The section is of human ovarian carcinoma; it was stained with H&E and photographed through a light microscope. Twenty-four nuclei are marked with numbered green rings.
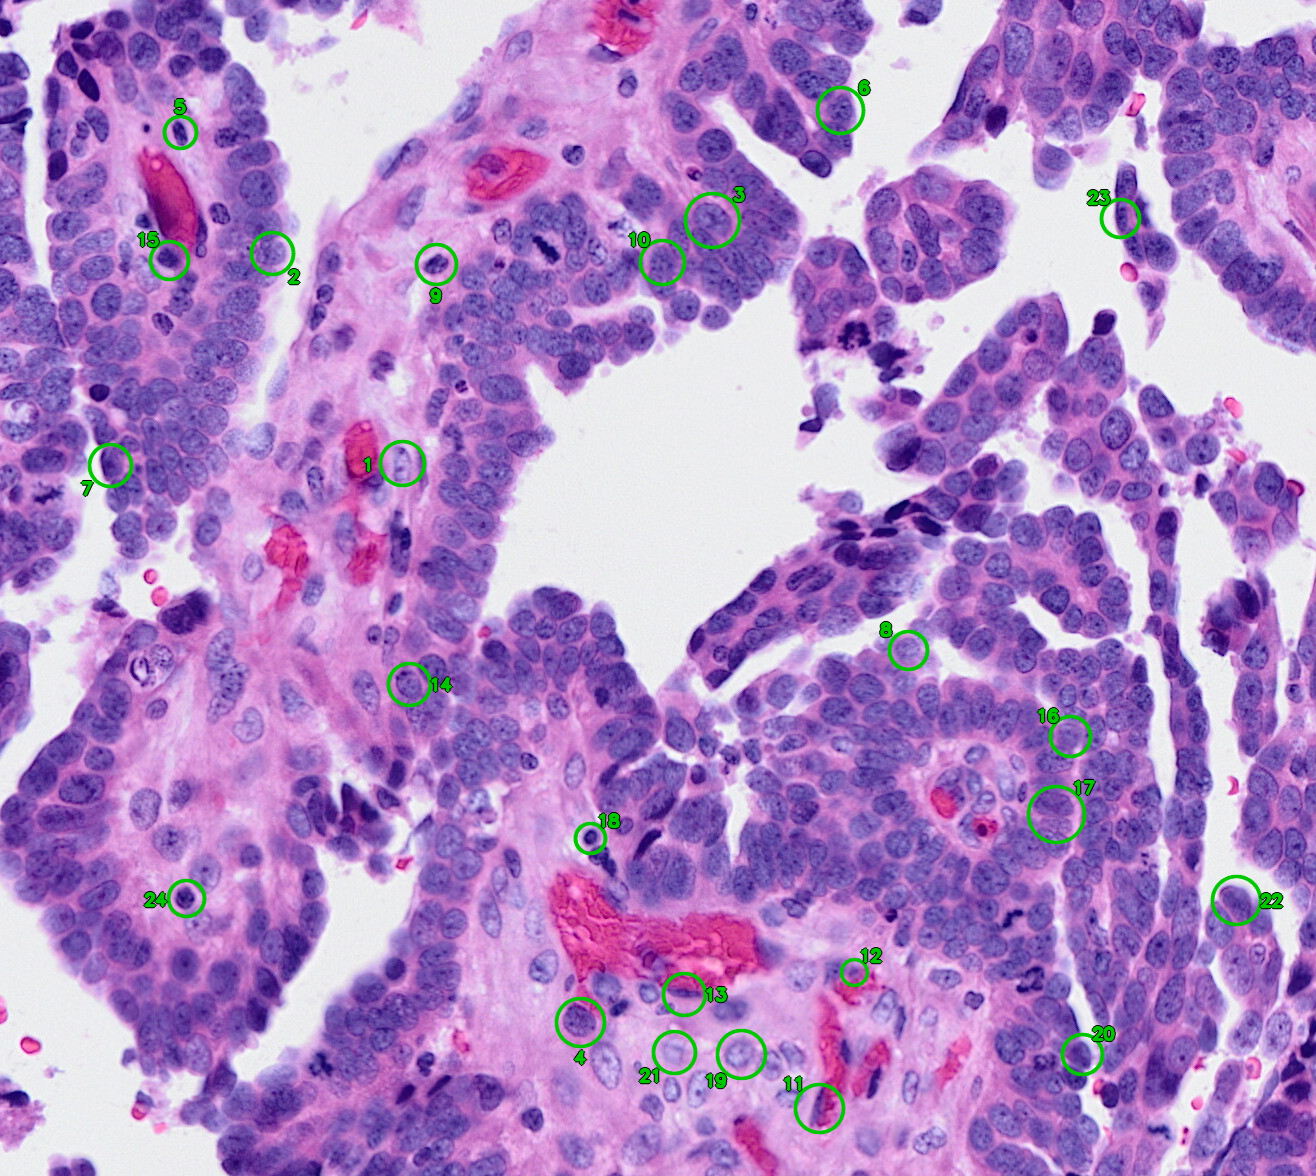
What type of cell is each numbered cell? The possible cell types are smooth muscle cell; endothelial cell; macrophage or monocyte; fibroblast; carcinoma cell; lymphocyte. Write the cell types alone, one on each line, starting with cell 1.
fibroblast
carcinoma cell
carcinoma cell
endothelial cell
lymphocyte
carcinoma cell
carcinoma cell
carcinoma cell
lymphocyte
carcinoma cell
endothelial cell
endothelial cell
endothelial cell
carcinoma cell
lymphocyte
carcinoma cell
carcinoma cell
lymphocyte
fibroblast
carcinoma cell
fibroblast
carcinoma cell
carcinoma cell
lymphocyte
